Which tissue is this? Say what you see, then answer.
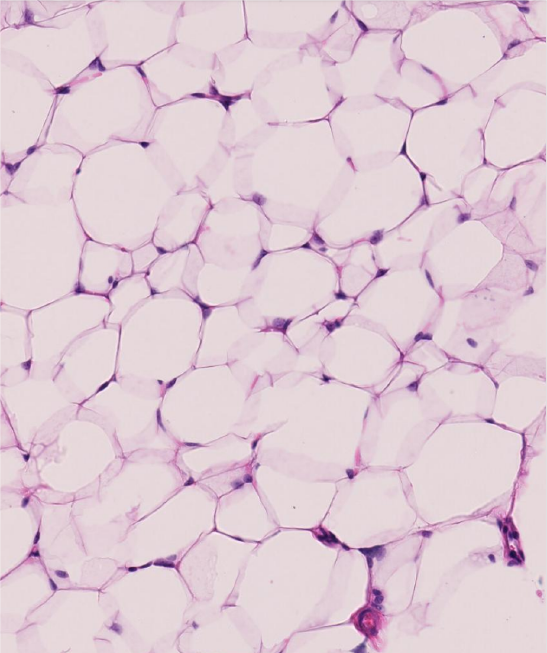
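White adipose tissue. Large, empty-looking polygonal to round spaces fill the field. Thin pink-purple walls separate the spaces into a honeycomb. Small dark flattened nuclei sit at the rims and corners between spaces.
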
